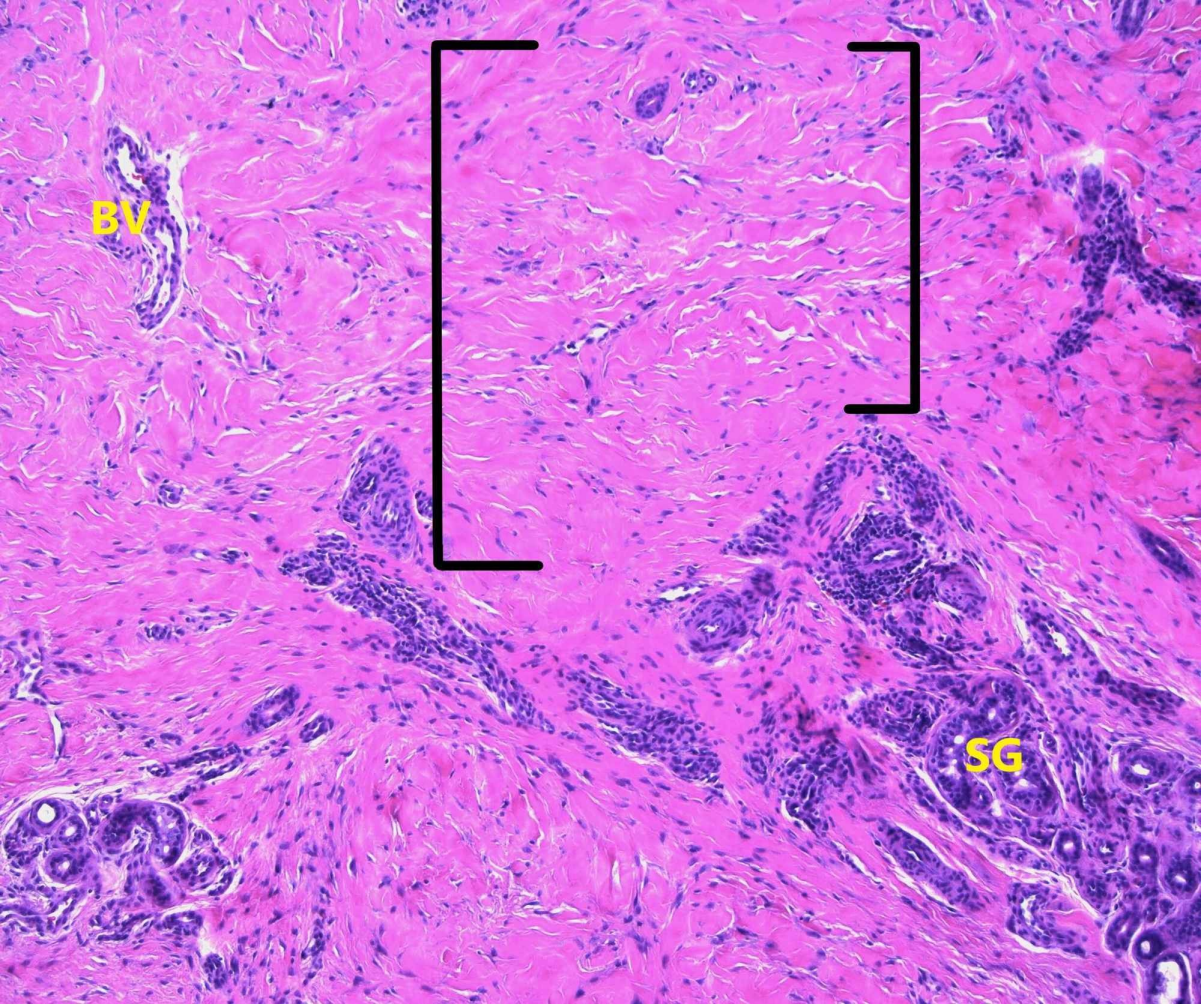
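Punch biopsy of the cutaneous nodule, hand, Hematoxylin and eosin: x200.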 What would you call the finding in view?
Diffuse dermal fibrosis.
